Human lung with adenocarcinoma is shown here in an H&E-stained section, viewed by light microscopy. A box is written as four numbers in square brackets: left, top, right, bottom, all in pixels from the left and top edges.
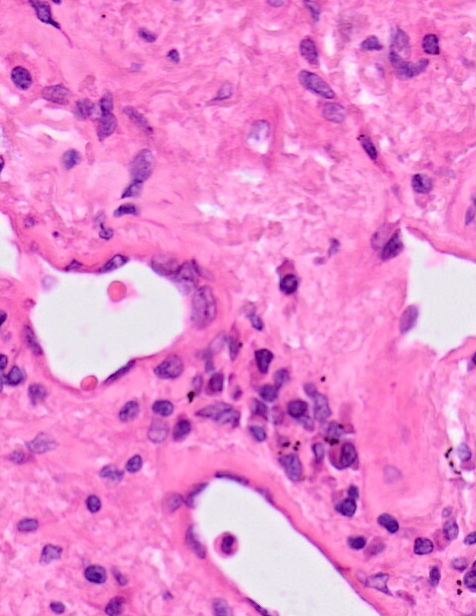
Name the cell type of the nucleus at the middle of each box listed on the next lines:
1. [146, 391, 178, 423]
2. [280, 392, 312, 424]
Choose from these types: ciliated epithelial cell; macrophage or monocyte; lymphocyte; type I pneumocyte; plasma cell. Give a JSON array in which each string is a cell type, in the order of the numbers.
["lymphocyte", "plasma cell"]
